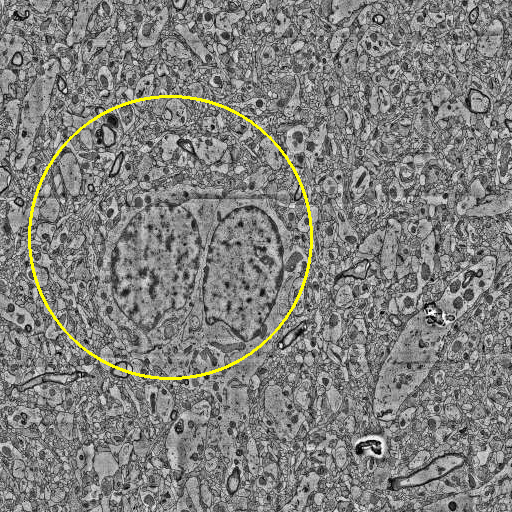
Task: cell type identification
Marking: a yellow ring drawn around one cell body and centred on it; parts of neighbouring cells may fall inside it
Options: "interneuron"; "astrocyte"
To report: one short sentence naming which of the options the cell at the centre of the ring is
The cell at the centre of the ring is an interneuron.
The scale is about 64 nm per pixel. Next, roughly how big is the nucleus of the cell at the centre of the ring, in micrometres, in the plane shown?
Approximately 8 x 5 micrometres in this plane.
